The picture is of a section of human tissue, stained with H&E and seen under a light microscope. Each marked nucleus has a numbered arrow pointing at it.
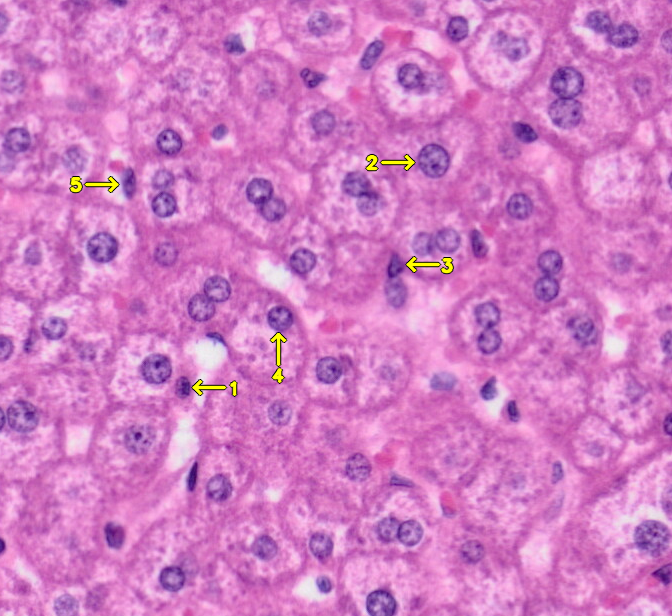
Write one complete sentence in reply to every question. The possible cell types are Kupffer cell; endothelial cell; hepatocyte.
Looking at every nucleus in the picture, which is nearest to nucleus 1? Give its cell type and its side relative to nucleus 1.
Just above and to the left of nucleus 1 lies the nearest nucleus, which belongs to a hepatocyte.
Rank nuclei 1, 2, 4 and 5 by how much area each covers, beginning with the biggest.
Largest first, the order by area is 2, 4, 5, 1.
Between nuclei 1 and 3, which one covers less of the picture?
Nucleus 1 covers less area, with nucleus 3 about 1.5 times as large.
